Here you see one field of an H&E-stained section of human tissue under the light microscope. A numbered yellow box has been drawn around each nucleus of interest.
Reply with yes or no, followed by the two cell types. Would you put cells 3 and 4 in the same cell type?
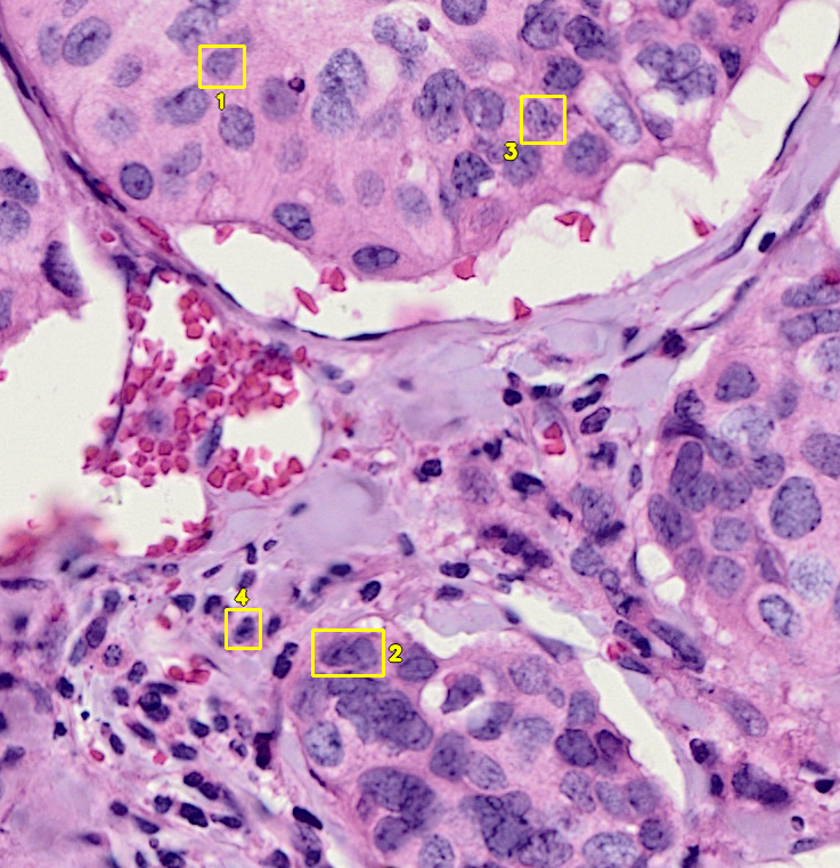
No, not so; cell 3 is a carcinoma cell and cell 4 is a lymphocyte.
